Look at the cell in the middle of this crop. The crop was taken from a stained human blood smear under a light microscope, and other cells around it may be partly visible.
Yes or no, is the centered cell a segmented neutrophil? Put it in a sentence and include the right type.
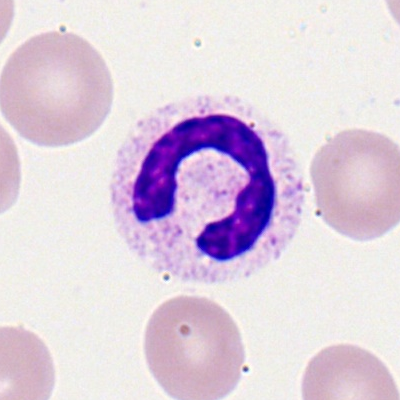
No, the central cell should be identified as a band neutrophil, not as a segmented neutrophil.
